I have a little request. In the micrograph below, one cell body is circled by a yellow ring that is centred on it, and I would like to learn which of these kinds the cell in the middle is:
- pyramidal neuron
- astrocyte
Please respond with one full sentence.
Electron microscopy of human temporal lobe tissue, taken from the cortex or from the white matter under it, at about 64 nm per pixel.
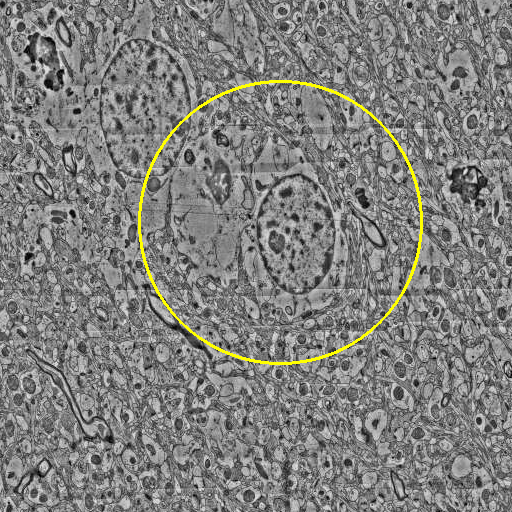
The cell sitting in the middle of the yellow ring in the micrograph is an astrocyte.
